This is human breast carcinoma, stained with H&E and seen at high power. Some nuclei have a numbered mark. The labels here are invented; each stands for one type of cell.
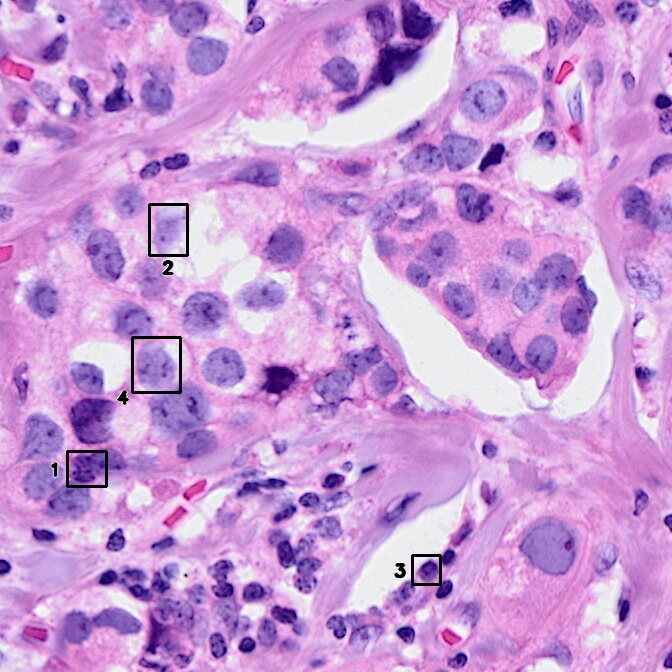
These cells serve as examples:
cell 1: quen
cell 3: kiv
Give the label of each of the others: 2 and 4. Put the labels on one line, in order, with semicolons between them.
quen; quen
